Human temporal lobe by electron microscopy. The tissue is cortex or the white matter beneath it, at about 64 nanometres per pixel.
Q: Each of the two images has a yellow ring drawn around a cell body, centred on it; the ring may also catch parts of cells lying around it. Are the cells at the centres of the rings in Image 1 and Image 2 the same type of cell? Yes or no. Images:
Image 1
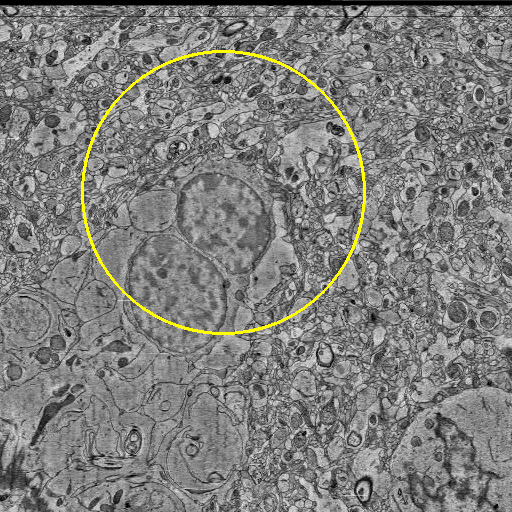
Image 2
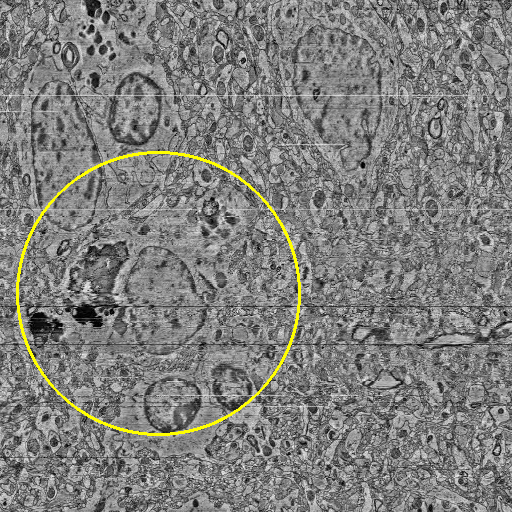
no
